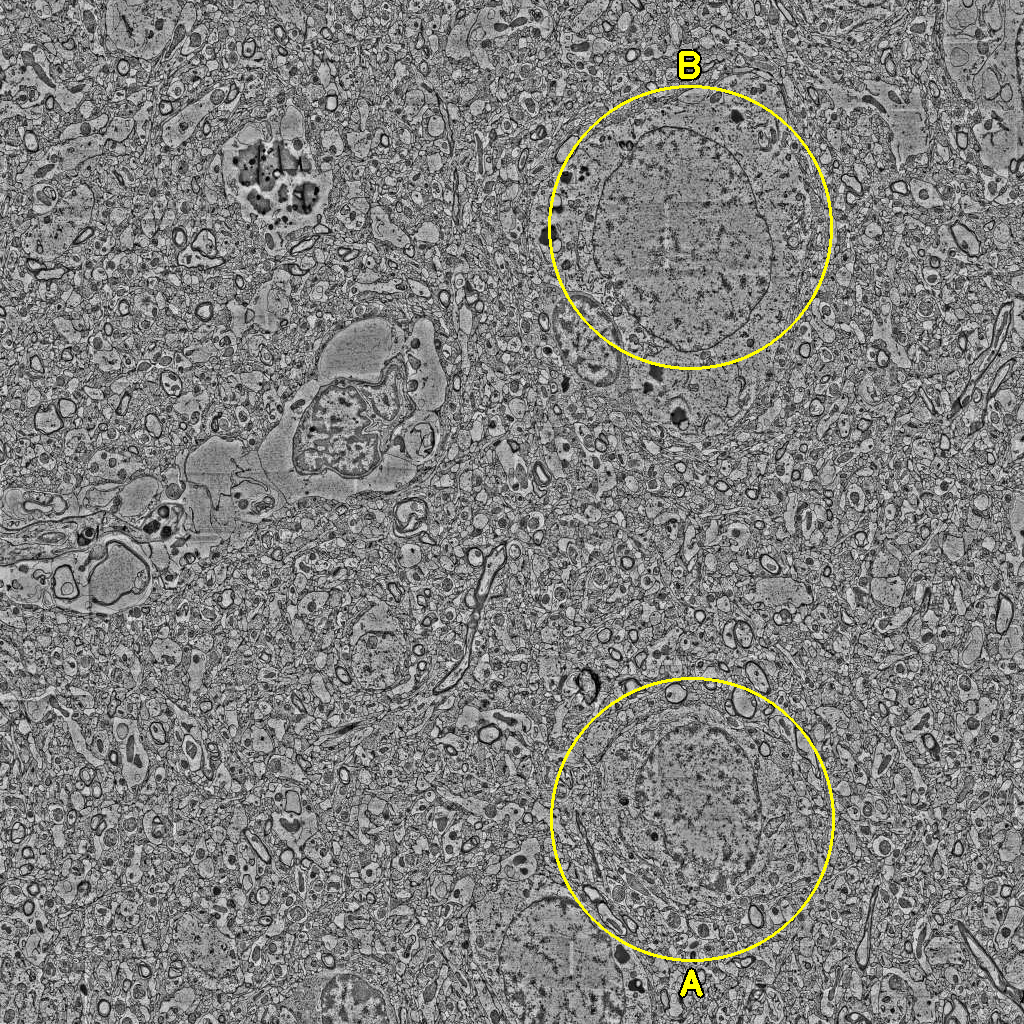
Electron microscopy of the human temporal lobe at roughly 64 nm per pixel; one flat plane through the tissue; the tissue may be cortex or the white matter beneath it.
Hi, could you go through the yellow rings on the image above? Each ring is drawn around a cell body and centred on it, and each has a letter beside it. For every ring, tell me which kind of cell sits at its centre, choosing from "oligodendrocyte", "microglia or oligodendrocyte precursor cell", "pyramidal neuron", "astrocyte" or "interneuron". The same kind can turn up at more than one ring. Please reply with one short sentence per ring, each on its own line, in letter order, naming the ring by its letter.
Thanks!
Ring A is centred on an interneuron.
Ring B is centred on a pyramidal neuron.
